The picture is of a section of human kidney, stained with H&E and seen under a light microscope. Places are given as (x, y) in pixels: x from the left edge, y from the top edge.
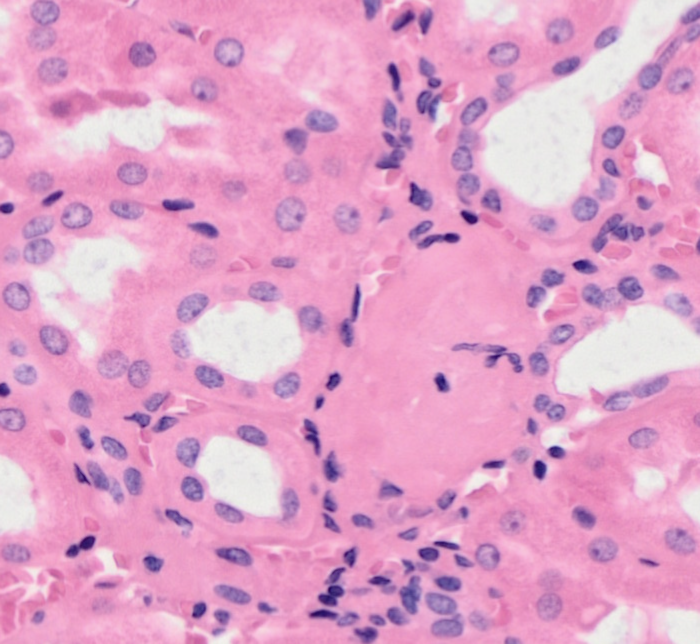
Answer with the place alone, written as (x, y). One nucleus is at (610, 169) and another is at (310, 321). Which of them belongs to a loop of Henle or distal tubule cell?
(310, 321)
